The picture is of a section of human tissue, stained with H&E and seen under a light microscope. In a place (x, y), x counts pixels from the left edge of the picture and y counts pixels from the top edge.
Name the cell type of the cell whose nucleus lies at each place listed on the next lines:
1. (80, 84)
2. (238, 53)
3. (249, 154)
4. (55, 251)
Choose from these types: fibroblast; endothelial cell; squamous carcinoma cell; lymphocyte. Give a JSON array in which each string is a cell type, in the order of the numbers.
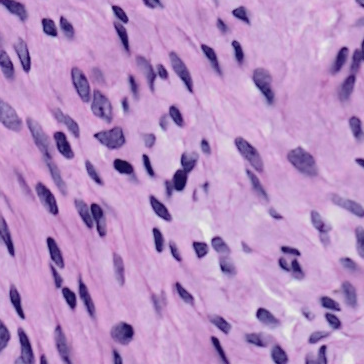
["endothelial cell", "fibroblast", "fibroblast", "fibroblast"]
